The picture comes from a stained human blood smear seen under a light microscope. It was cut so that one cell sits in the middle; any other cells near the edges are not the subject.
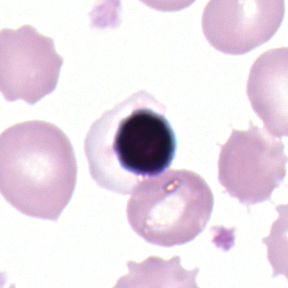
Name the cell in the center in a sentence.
The cell at the central position in this crop is a normoblast.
